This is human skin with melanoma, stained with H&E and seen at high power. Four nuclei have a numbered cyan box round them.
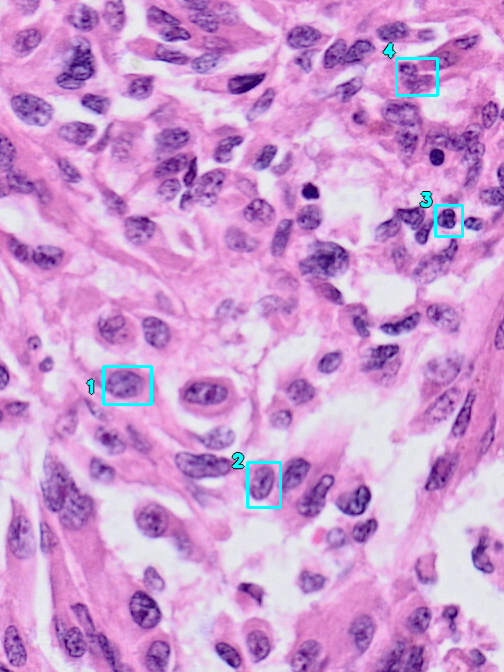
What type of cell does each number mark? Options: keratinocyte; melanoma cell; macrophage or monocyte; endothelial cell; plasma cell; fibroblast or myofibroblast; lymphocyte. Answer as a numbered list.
1. melanoma cell
2. melanoma cell
3. lymphocyte
4. melanoma cell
